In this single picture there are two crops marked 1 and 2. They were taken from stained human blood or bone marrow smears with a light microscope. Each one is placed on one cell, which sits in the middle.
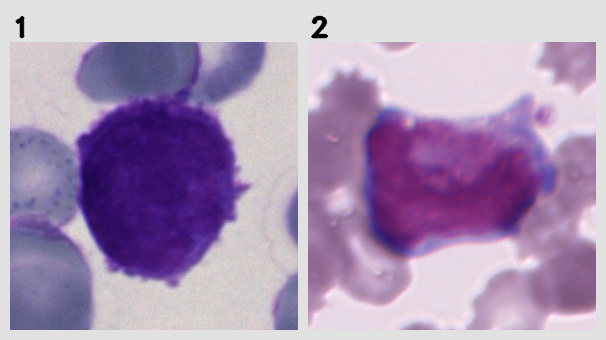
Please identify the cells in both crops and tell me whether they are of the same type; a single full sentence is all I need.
Yes, with regard to both crops, the central cells are blasts.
